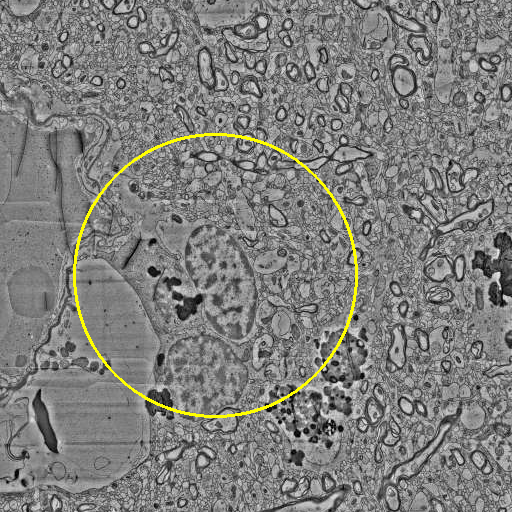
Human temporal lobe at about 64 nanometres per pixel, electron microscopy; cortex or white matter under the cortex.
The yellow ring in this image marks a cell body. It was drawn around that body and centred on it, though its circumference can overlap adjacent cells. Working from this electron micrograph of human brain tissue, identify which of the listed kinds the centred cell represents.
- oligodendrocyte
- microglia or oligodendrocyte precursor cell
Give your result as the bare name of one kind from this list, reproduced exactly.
microglia or oligodendrocyte precursor cell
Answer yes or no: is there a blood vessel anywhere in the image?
Yes, a vessel shows somewhere in the image.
